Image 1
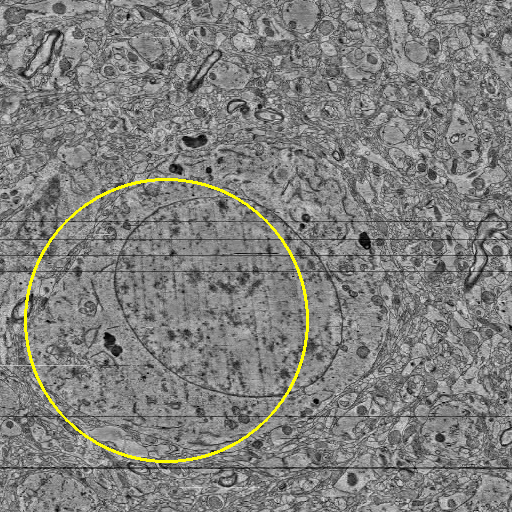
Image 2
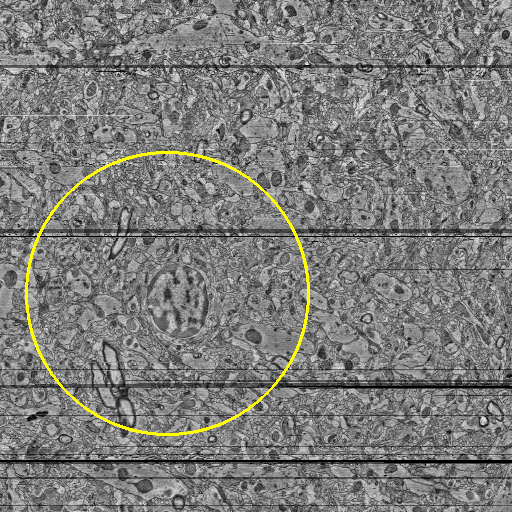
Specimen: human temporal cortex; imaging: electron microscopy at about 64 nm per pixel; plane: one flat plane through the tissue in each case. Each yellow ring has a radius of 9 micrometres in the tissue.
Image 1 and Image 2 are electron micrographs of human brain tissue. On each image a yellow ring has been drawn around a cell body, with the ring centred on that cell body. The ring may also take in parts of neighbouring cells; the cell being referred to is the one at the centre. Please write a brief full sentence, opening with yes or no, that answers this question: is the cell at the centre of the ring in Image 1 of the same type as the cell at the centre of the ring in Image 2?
No, the two cells are of two types.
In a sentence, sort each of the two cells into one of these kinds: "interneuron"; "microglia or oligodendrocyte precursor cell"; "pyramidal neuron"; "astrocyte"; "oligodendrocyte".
The first of the two cells is a pyramidal neuron, and the second is a microglial cell or oligodendrocyte precursor cell.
